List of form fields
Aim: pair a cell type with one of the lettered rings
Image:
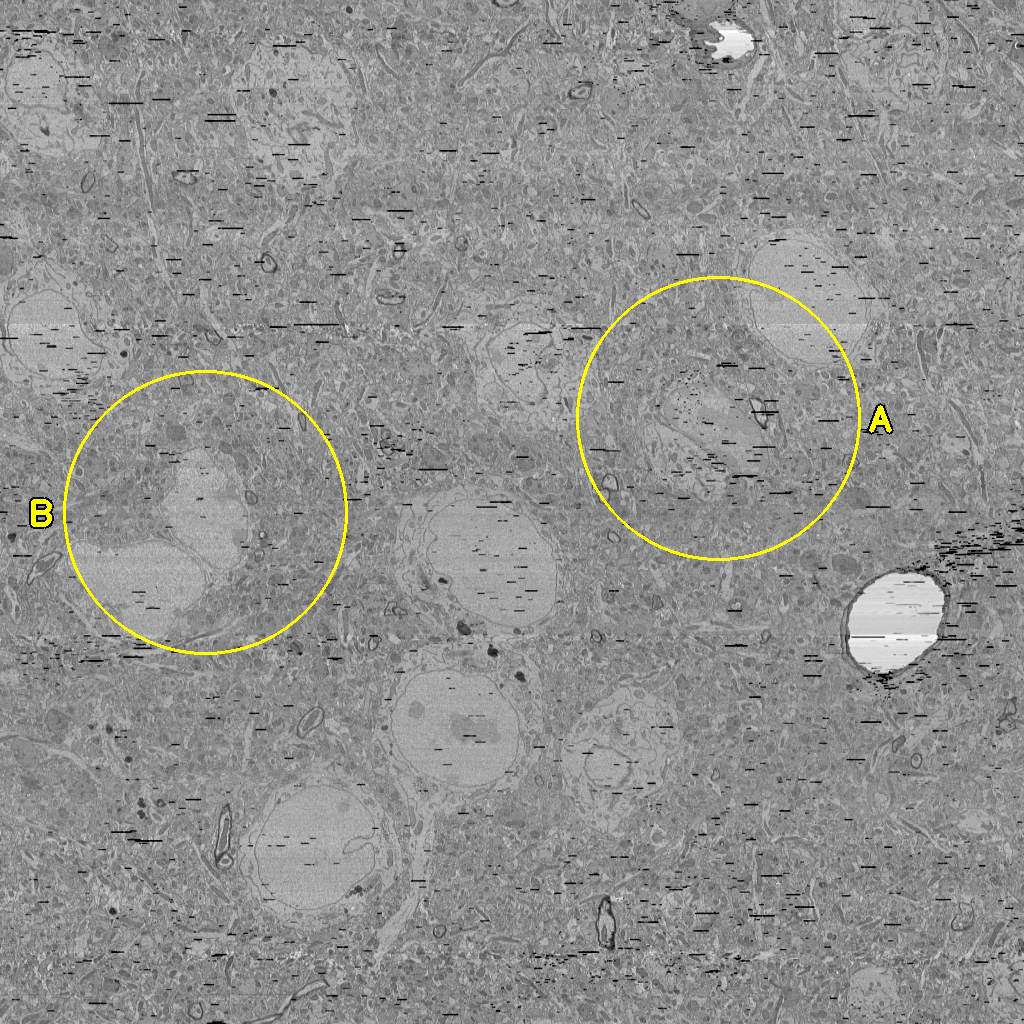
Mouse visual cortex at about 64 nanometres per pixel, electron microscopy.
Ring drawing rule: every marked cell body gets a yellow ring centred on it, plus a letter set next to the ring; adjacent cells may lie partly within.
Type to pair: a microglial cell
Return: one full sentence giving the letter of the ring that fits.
Ring A is the one whose central cell body is that kind of cell.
